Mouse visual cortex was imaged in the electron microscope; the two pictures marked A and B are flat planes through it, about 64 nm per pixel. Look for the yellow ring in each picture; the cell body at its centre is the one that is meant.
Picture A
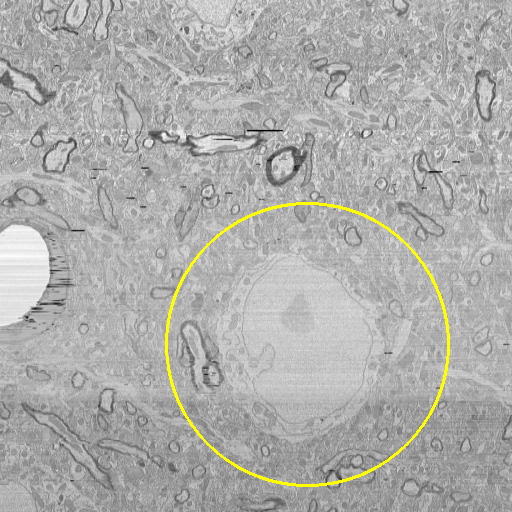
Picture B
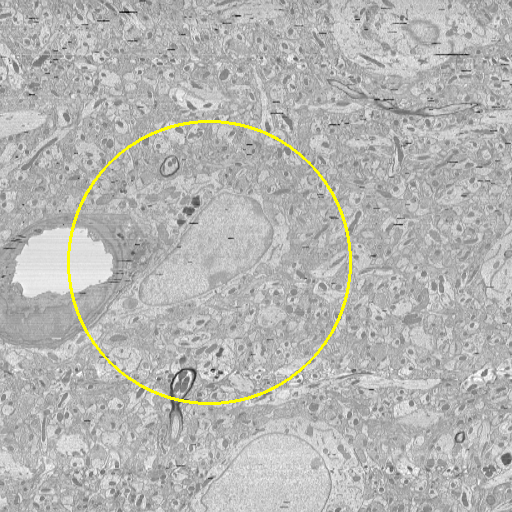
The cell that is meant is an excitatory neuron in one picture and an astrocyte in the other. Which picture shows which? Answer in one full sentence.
Picture B shows an astrocyte, while picture A shows an excitatory neuron.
